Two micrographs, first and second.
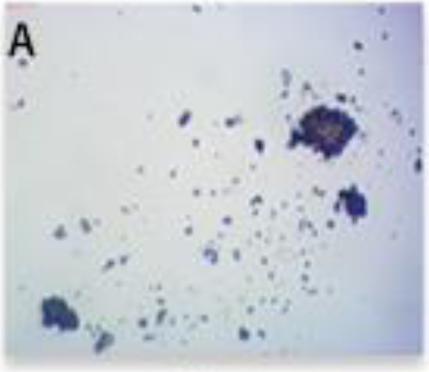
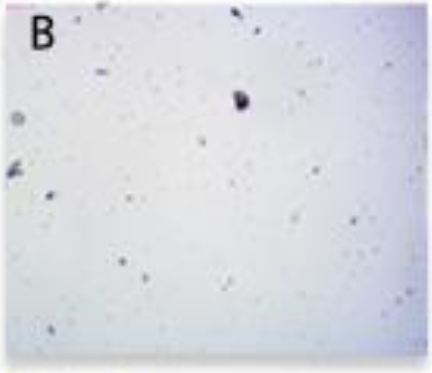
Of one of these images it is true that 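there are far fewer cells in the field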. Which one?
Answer: The second image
